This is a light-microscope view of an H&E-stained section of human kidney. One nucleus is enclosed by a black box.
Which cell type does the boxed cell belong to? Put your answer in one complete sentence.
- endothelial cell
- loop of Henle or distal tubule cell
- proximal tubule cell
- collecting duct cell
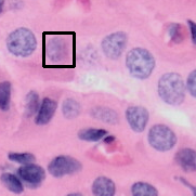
The cell meant here is a collecting duct cell.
